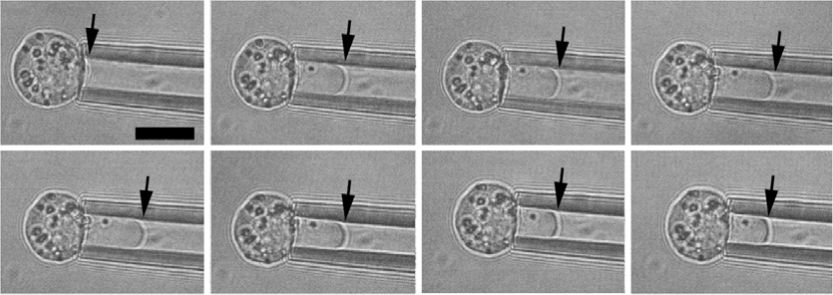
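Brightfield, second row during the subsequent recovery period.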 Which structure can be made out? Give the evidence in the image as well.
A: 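Micropipette. A straight glass tube with thick parallel walls enters from the right. The tube's open tip is pressed against a single round cell.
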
